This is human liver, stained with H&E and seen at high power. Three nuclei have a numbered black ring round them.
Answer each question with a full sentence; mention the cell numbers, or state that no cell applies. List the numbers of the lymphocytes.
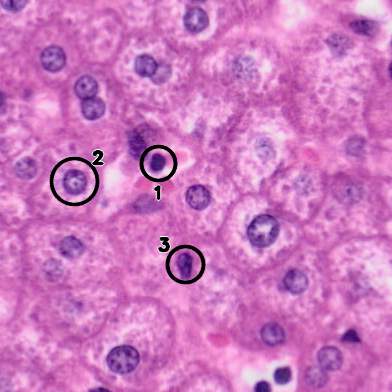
None but cell 1 among the numbered cells is a lymphocyte.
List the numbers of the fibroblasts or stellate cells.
Cell 3 represents a fibroblast or stellate cell, and no other numbered cell does.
